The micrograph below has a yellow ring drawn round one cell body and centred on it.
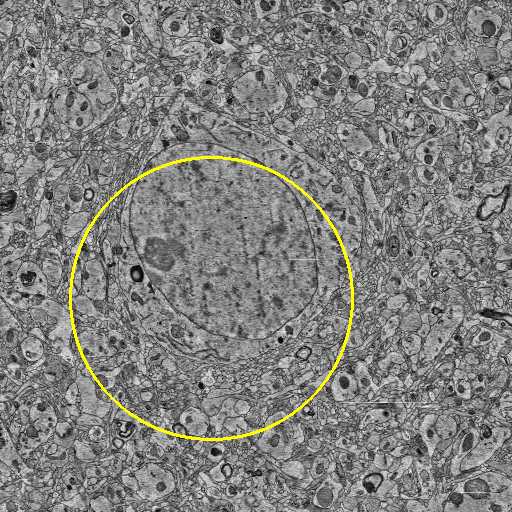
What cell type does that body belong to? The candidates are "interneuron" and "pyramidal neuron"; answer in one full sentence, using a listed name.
This is a pyramidal neuron, the cell whose body lies at the centre of the ring.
